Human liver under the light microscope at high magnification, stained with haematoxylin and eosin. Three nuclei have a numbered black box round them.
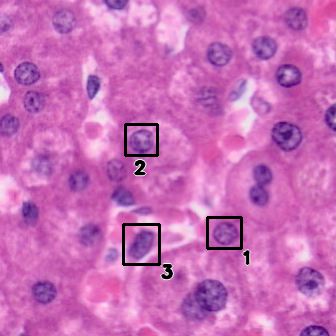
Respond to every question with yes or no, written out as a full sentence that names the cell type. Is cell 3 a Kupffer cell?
Yes, the cell with number 3 is a Kupffer cell.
